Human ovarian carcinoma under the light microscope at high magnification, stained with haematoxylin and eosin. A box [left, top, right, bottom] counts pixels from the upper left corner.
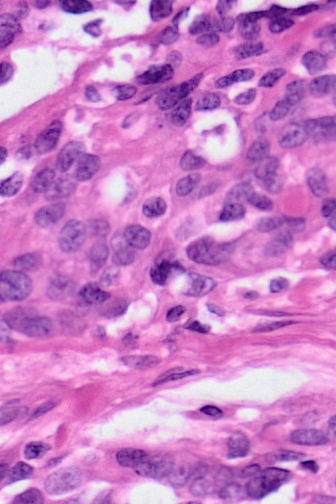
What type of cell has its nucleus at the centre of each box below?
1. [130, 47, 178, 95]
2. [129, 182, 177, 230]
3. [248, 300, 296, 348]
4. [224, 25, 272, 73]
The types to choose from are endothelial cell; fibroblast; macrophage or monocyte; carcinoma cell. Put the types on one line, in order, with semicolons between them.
carcinoma cell; macrophage or monocyte; fibroblast; carcinoma cell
